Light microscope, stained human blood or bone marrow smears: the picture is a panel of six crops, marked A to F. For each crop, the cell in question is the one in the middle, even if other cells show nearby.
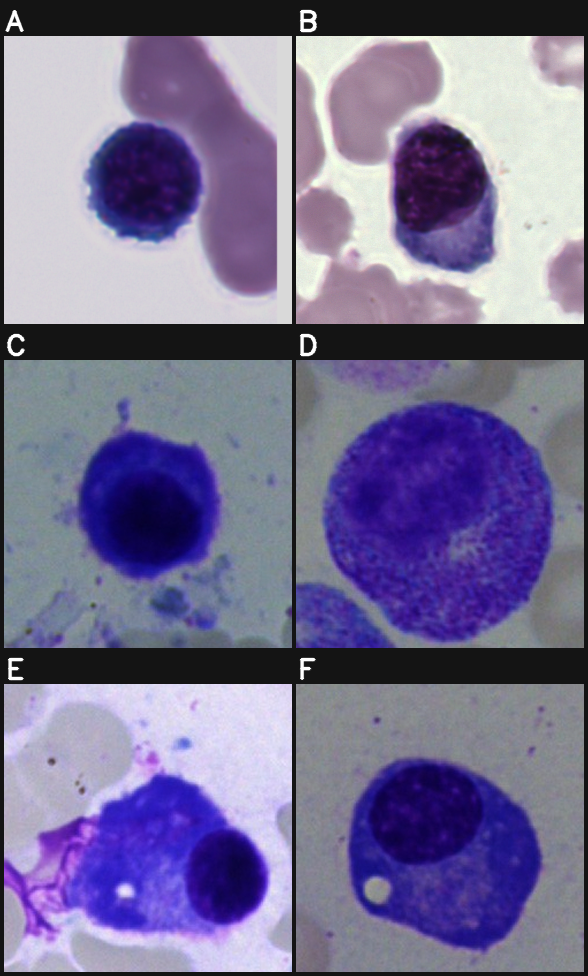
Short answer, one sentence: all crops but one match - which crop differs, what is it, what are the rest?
Crop D presents a promyelocyte, while plasma cells are presented by all other crops.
